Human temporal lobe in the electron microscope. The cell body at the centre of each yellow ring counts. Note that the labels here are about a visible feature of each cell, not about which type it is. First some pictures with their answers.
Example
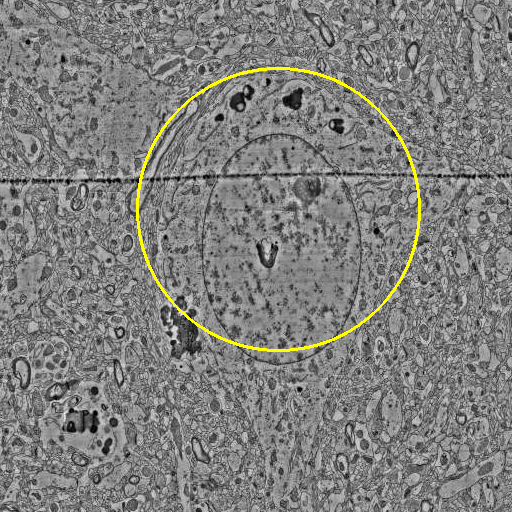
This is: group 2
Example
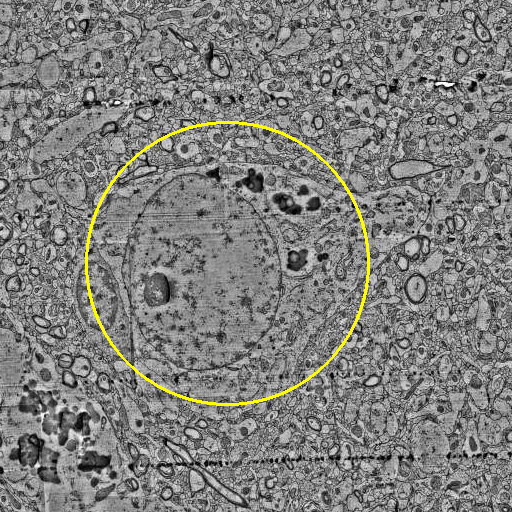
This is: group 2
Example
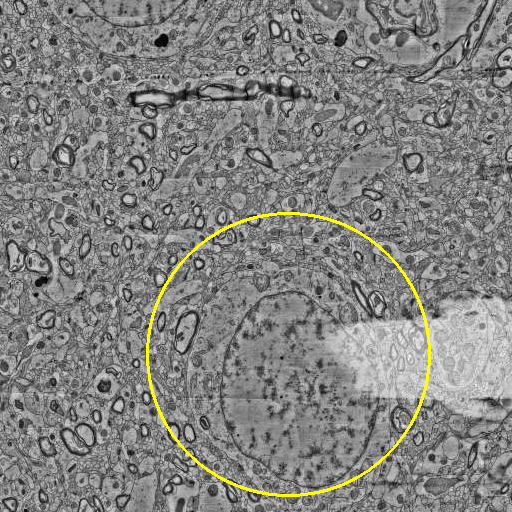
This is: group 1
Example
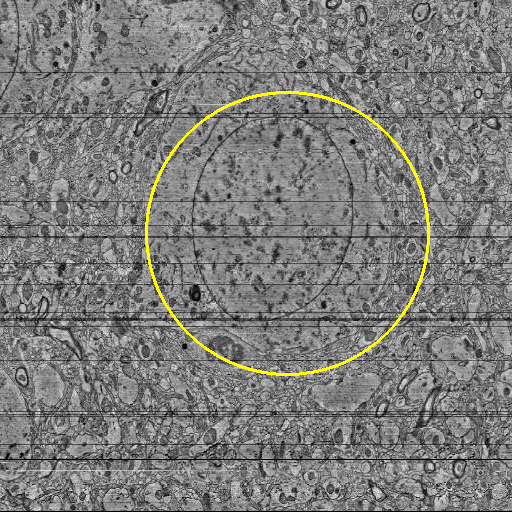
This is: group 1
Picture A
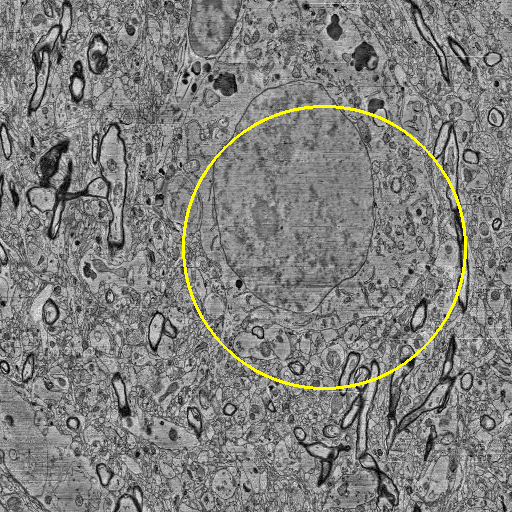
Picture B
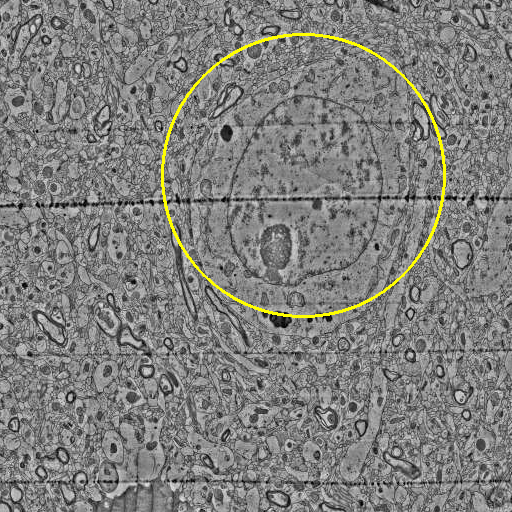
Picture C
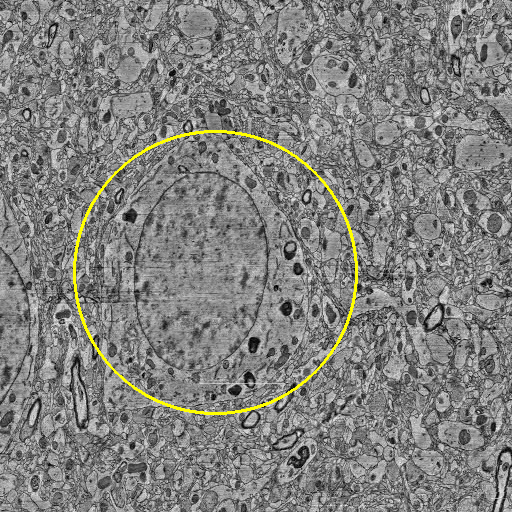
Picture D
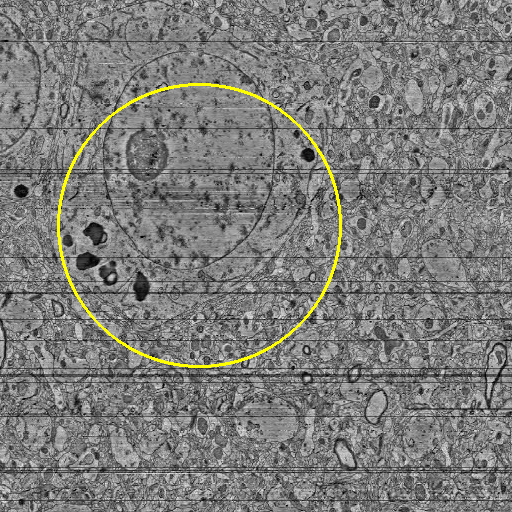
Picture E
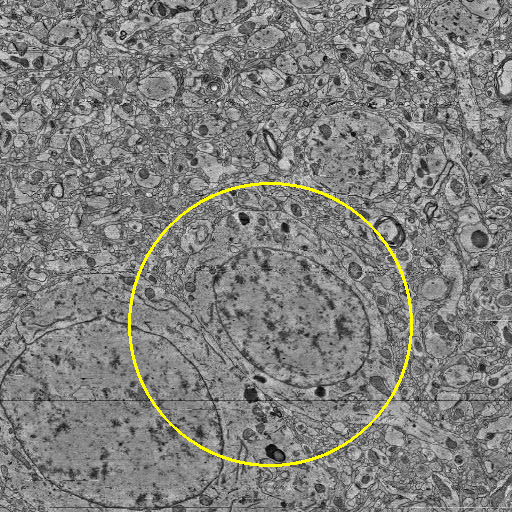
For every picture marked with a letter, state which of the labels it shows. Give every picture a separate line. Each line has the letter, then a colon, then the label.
A: group 1
B: group 2
C: group 1
D: group 2
E: group 1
